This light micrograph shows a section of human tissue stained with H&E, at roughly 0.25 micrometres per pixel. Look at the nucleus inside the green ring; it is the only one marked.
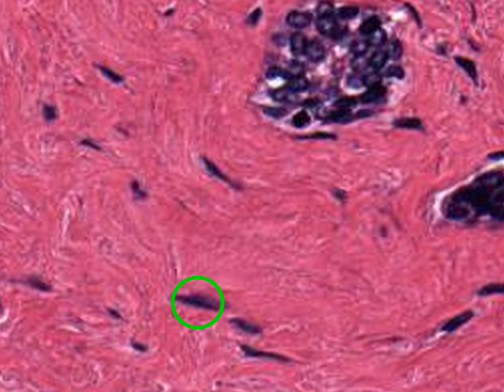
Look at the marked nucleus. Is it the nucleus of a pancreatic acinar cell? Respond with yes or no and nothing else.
no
